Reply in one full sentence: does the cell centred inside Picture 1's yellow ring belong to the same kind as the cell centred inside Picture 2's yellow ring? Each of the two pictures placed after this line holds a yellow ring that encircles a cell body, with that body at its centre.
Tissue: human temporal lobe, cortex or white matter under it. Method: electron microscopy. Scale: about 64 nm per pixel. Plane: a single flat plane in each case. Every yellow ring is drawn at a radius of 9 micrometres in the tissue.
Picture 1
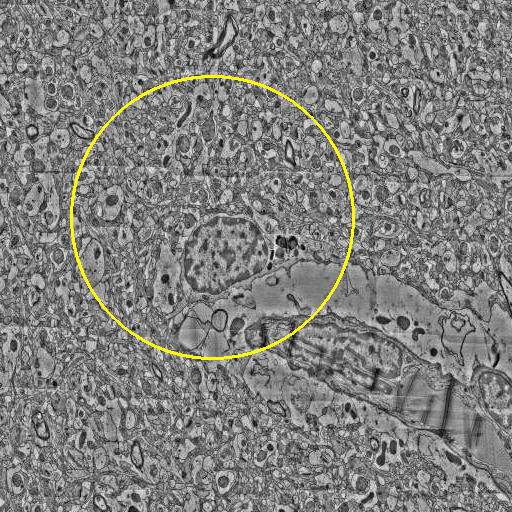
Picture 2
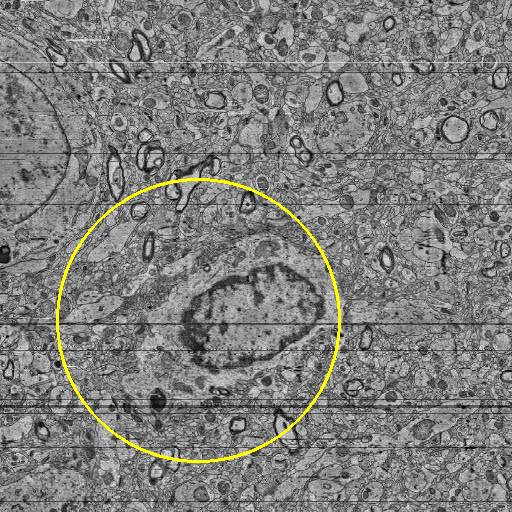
Yes, the ring-centred cells in Picture 1 and Picture 2 are of one and the same kind.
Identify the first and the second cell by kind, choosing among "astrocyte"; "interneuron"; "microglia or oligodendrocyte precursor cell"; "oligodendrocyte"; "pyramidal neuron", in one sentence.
In the first picture and in the second, the ring is centred on a microglial cell or oligodendrocyte precursor cell.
